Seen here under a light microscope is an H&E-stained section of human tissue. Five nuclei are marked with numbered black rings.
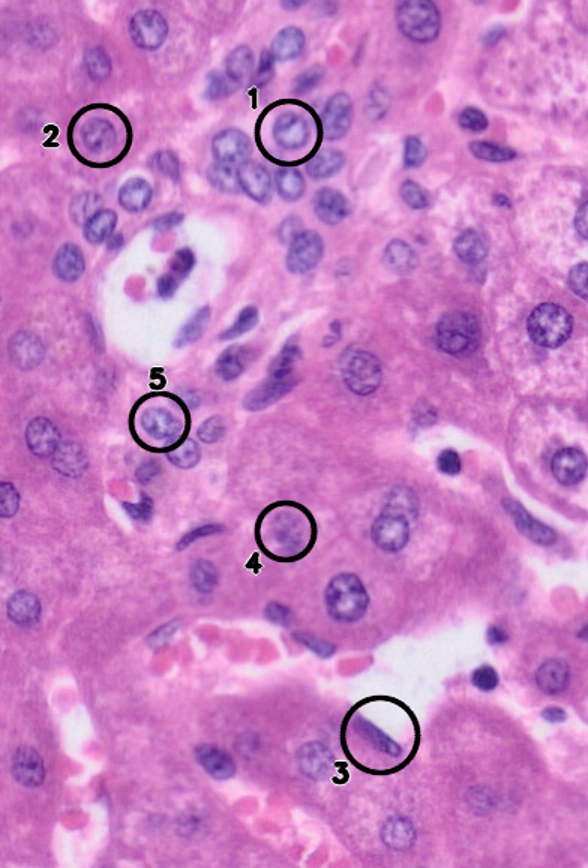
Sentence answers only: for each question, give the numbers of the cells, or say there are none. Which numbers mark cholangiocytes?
Identification: the cells with numbers 1 and 5 are cholangiocytes.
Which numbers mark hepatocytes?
The cells numbered 2 and 4 are of one kind: hepatocytes.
